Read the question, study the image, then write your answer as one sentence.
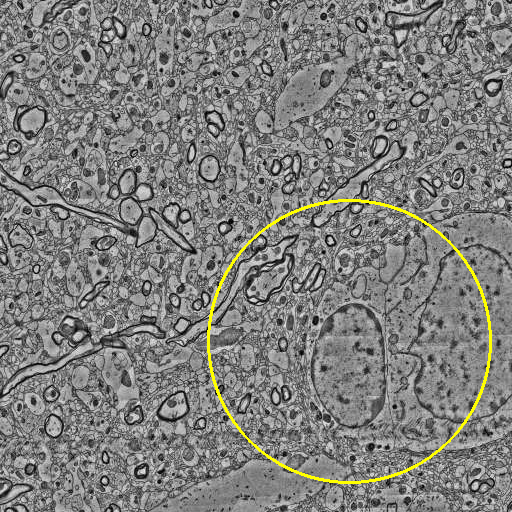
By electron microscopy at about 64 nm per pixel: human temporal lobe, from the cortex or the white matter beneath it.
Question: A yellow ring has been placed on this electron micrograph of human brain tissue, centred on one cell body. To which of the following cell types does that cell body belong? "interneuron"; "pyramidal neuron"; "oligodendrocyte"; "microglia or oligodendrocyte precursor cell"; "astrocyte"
That cell body belongs to a microglial cell or oligodendrocyte precursor cell.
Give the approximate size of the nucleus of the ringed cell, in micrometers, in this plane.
At approximately 8 by 5 micrometres, the nucleus is clearly longer than it is wide in this plane.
